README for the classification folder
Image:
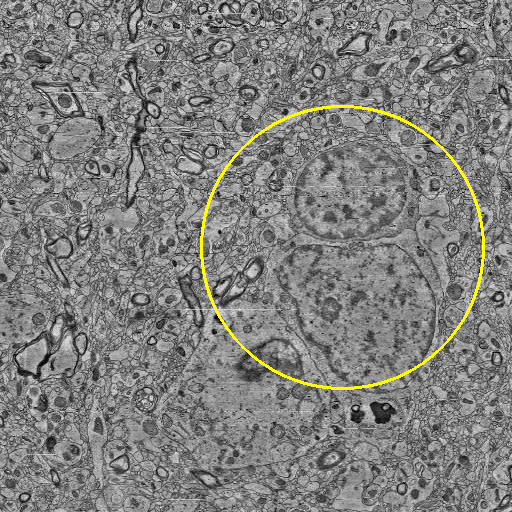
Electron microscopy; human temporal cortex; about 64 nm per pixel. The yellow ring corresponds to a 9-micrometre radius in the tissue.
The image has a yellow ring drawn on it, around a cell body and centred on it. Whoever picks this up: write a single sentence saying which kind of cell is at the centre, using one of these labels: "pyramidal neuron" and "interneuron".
This cell body is that of an interneuron.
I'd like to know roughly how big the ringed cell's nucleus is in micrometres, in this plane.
The nucleus appears roughly 11 by 9 micrometres in this plane.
